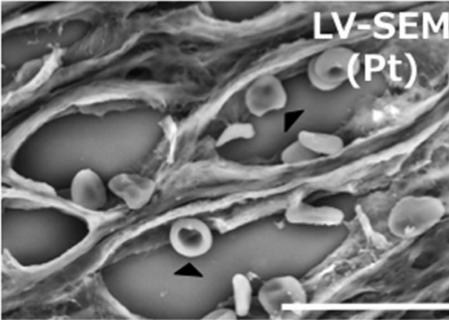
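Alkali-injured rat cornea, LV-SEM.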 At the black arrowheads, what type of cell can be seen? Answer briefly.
red blood cells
